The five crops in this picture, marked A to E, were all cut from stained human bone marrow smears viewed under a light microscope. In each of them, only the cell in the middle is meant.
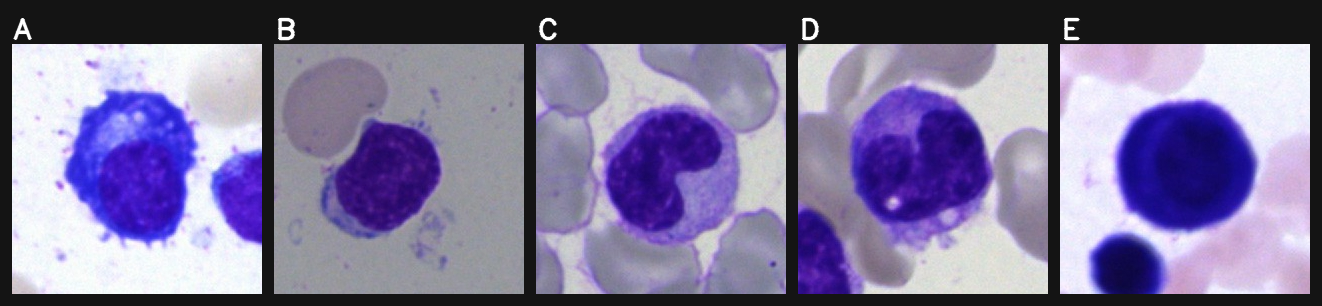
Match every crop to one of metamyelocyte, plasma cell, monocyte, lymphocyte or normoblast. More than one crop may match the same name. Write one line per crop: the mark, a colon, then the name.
A: plasma cell
B: lymphocyte
C: metamyelocyte
D: monocyte
E: plasma cell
